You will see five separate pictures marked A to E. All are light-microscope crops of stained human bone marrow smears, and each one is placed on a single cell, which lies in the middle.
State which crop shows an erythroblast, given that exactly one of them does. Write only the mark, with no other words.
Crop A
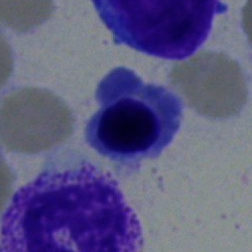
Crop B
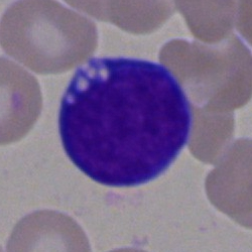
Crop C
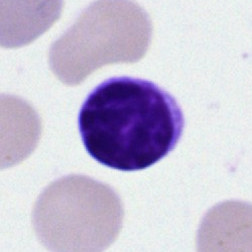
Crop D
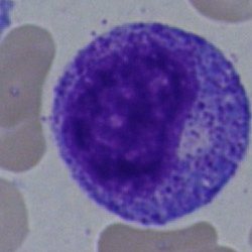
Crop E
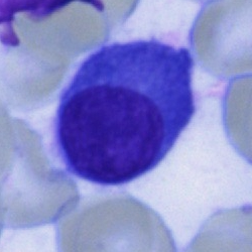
A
